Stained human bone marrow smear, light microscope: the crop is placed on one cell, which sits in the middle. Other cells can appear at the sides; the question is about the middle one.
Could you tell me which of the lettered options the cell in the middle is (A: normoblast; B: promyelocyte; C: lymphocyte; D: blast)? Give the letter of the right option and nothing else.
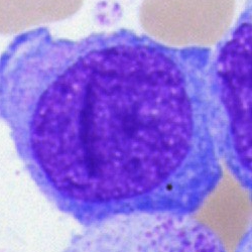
D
